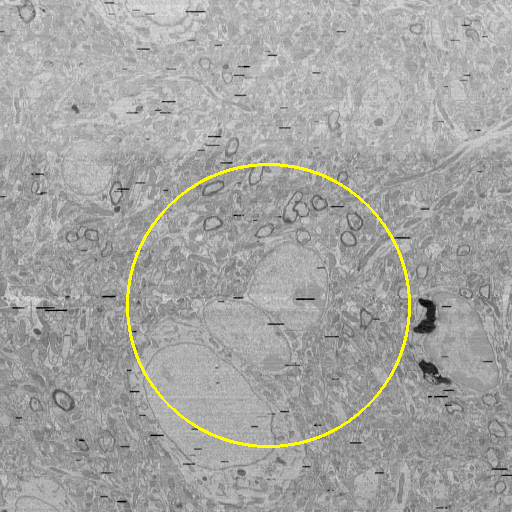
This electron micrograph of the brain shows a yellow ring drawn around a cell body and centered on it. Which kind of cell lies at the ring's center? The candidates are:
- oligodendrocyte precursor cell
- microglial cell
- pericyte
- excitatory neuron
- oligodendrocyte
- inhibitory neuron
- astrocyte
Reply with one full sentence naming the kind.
The cell lying at the ring's center in this micrograph is an oligodendrocyte precursor cell.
